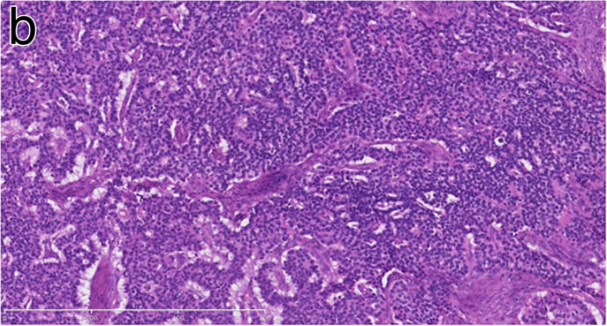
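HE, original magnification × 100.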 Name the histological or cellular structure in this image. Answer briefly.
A: Nest-like, trabecular and rosette-like structures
